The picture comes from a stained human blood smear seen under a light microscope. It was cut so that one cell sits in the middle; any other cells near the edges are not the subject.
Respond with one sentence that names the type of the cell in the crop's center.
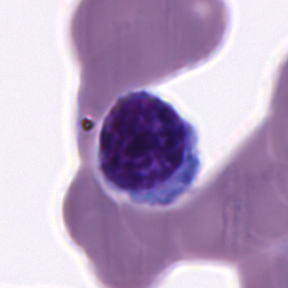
At the center of the crop sits a plasma cell.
